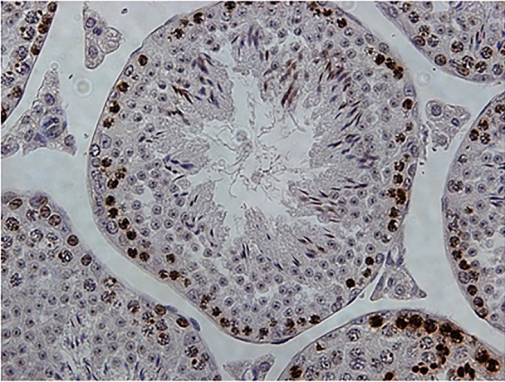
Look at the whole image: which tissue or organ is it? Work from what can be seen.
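Round tubules in cross section separated by narrow interstitial spaces. Several layers of round-nucleated cells line each tubule wall. Elongated dark heads and pale tails point toward the lumen. That points to this answer: testis.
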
